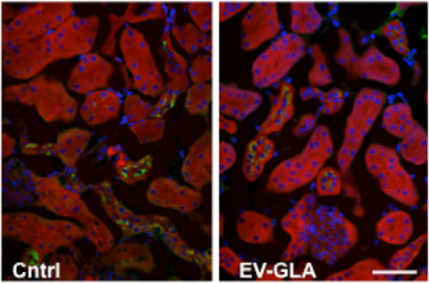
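Two fluorescence images of kidney tissue cut across many tubules. The tubules appear as rounded and elongated profiles filled with red-stained epithelial cells, with blue nuclei distributed within and around their walls. Narrow dark spaces separate neighbouring tubules. Small green dots are scattered in some tubule profiles, more visible in the left image than in the right.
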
